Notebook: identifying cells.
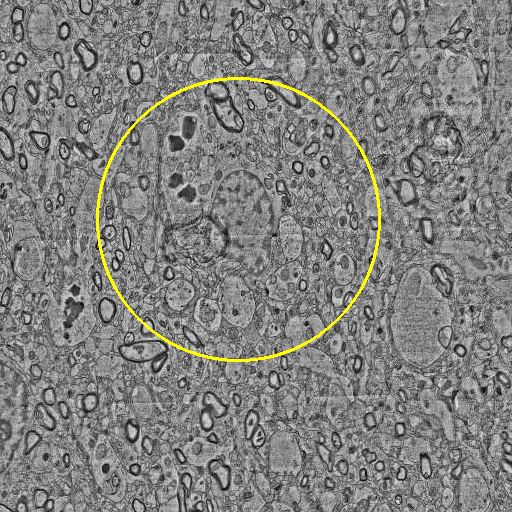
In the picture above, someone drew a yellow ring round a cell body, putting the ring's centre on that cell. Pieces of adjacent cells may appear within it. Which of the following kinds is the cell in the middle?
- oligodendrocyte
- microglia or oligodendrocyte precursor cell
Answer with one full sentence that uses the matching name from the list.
In this picture, the yellow ring is centred on the body of an oligodendrocyte.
